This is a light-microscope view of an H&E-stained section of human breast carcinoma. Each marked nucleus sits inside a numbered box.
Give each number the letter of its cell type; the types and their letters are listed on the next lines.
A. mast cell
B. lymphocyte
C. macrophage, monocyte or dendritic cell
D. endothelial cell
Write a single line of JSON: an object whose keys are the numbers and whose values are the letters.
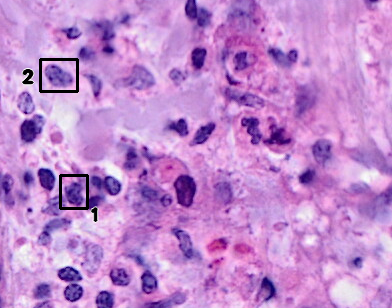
{"1": "B", "2": "A"}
